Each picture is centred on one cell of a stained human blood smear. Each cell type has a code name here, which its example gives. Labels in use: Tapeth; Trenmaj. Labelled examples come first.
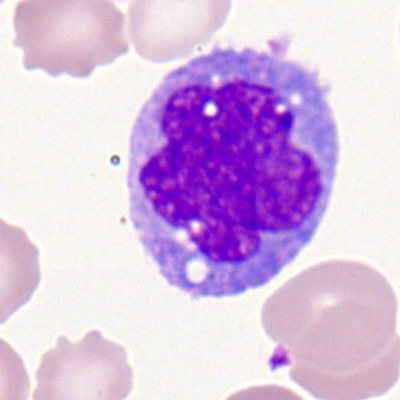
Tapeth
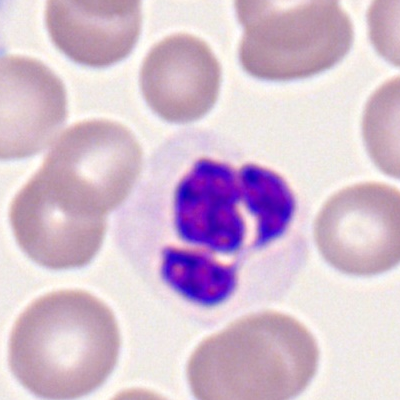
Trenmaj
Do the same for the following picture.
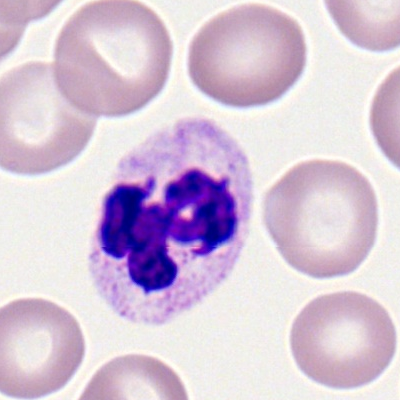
Trenmaj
